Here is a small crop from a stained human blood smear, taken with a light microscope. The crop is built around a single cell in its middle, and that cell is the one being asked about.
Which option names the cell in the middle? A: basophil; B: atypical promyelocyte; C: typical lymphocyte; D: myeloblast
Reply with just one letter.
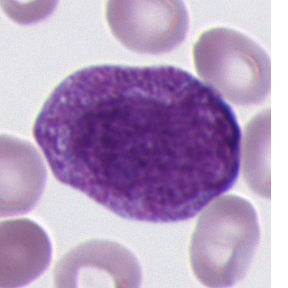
B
